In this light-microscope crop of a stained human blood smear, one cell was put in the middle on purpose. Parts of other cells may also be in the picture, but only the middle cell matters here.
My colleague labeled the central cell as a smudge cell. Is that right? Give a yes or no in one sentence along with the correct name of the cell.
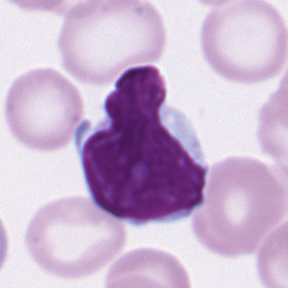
No, not a smudge cell here; the centered cell is a typical lymphocyte.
